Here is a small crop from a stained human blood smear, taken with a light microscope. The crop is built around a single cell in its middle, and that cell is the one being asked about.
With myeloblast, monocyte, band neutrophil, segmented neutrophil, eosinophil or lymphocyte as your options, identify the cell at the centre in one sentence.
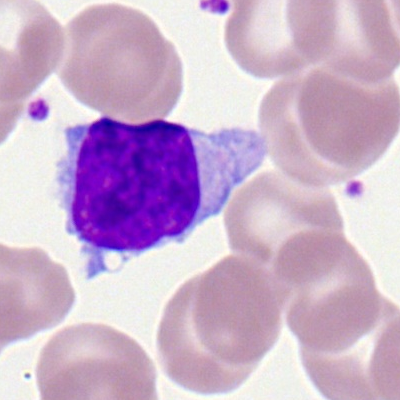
The cell in the exact centre of the crop is a lymphocyte.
